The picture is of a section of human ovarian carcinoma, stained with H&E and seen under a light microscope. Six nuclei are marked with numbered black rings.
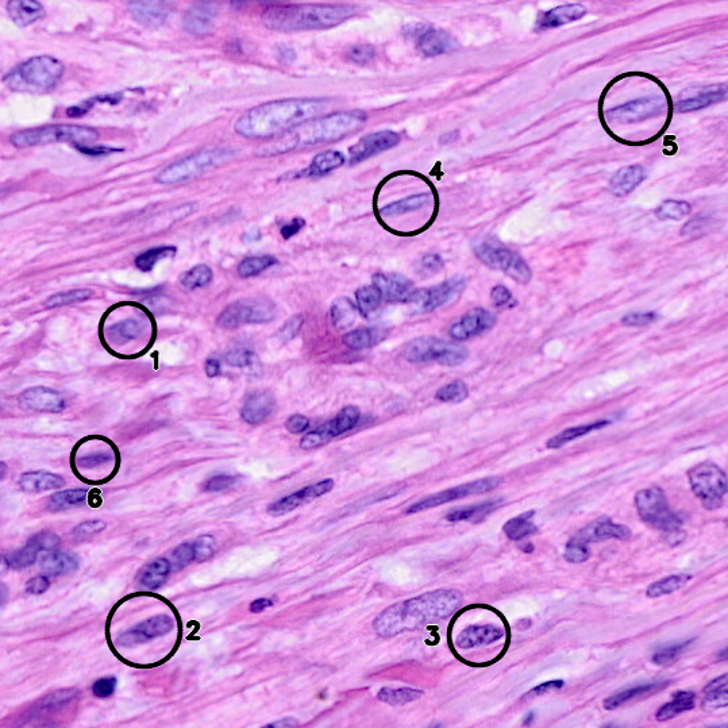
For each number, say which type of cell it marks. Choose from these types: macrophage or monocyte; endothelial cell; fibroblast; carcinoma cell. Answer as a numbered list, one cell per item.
1. fibroblast
2. macrophage or monocyte
3. macrophage or monocyte
4. fibroblast
5. fibroblast
6. fibroblast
